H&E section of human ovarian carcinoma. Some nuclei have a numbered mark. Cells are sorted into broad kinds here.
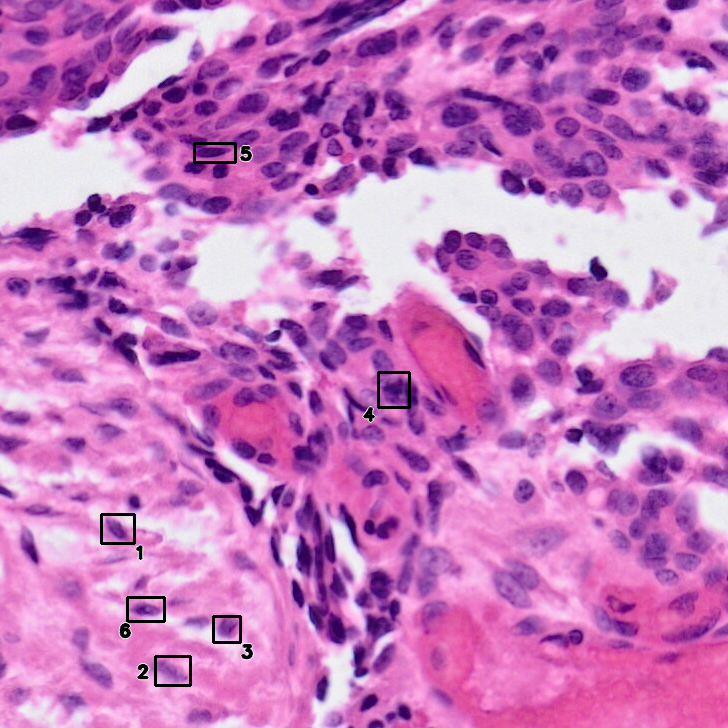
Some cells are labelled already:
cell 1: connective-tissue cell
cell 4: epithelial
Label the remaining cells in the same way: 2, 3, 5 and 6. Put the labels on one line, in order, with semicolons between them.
connective-tissue cell; connective-tissue cell; epithelial; connective-tissue cell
